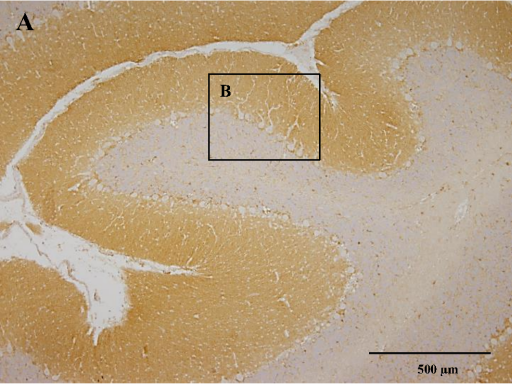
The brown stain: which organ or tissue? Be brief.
Molecular layer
